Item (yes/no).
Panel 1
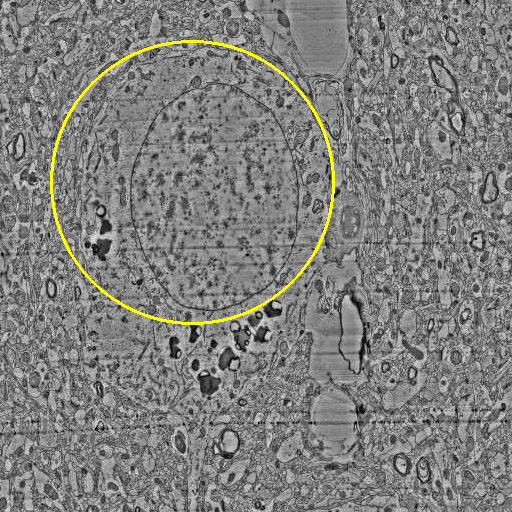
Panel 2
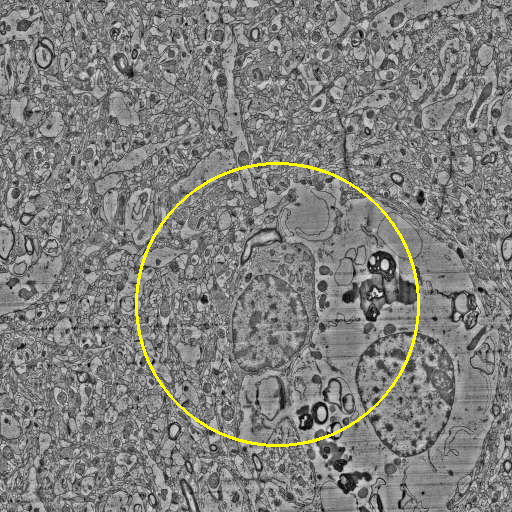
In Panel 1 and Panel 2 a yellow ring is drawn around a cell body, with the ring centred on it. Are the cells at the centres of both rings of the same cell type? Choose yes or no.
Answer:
no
